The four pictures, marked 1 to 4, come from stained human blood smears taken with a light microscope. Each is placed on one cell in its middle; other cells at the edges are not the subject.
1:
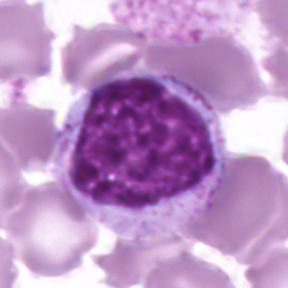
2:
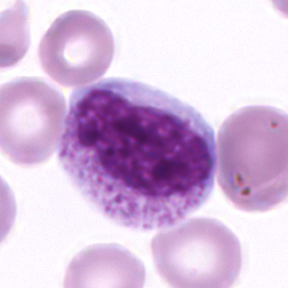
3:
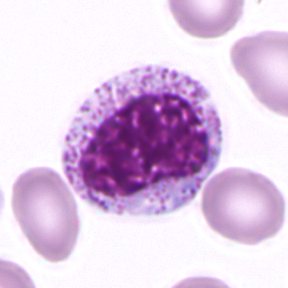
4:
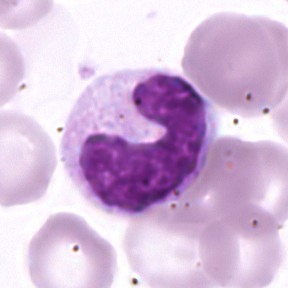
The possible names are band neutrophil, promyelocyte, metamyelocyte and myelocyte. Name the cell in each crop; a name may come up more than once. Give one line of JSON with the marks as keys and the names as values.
{"1": "myelocyte", "2": "metamyelocyte", "3": "metamyelocyte", "4": "band neutrophil"}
